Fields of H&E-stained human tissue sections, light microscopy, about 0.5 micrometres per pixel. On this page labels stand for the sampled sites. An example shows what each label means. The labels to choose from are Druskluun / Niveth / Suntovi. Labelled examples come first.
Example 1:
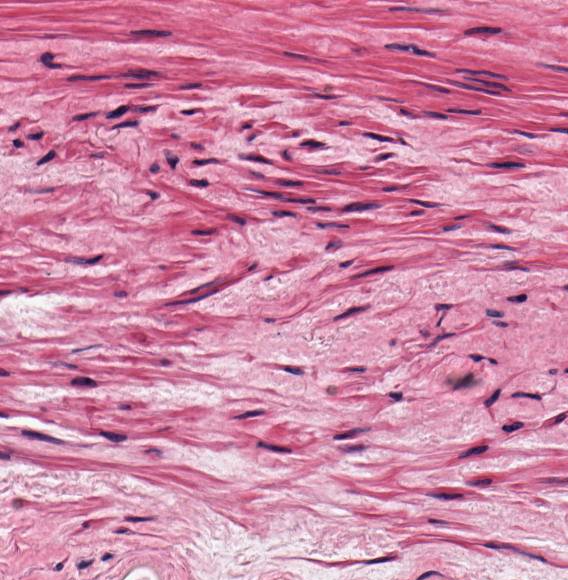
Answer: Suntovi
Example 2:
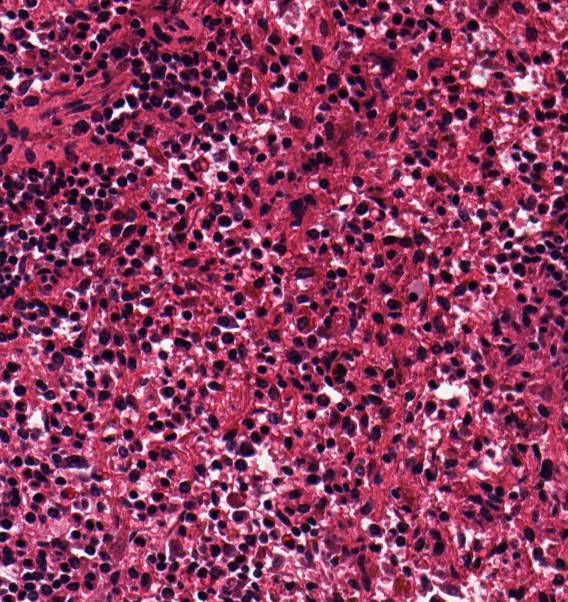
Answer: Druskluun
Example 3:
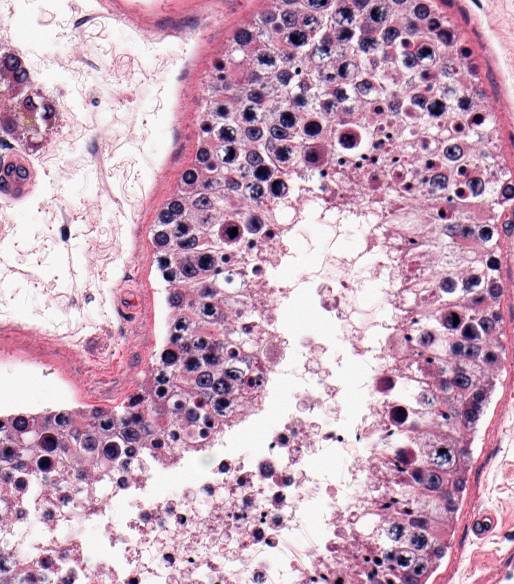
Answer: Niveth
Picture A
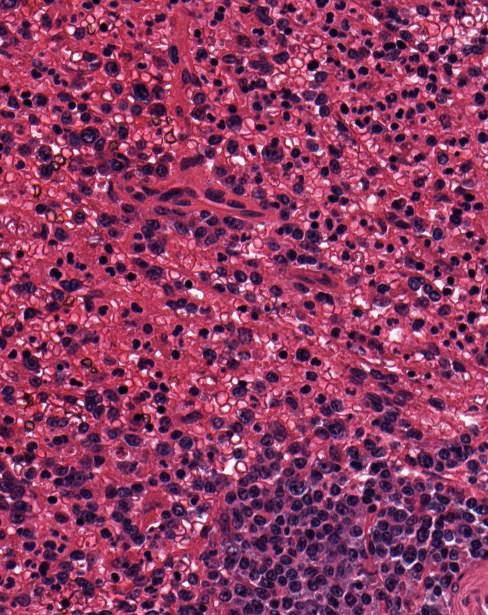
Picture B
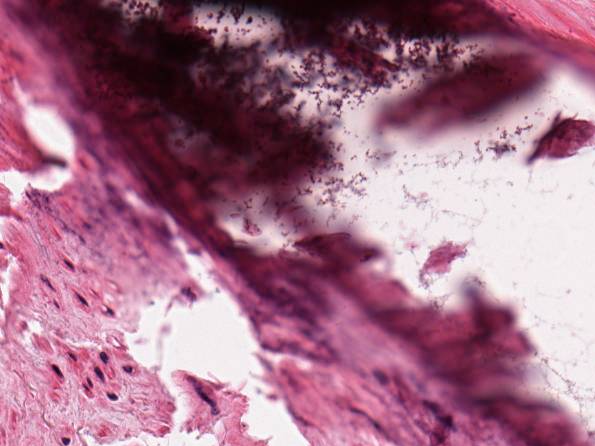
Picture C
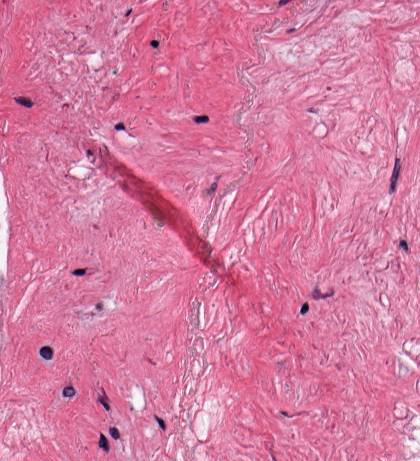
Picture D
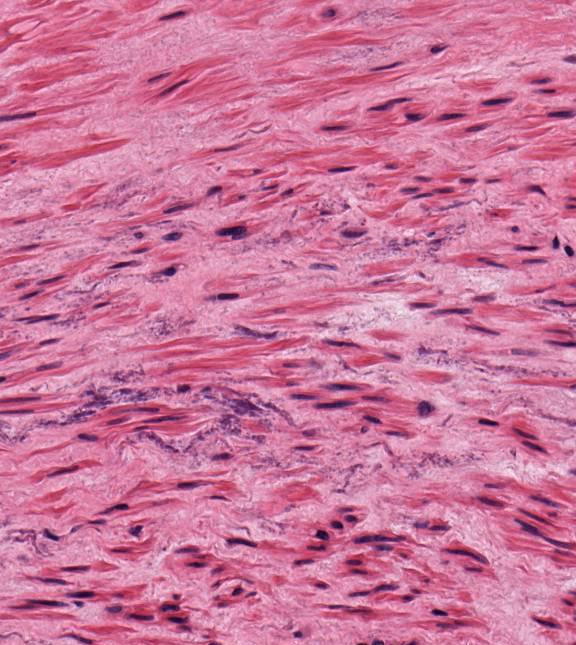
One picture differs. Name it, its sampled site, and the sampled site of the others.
Different: A, Druskluun. Others: Suntovi.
